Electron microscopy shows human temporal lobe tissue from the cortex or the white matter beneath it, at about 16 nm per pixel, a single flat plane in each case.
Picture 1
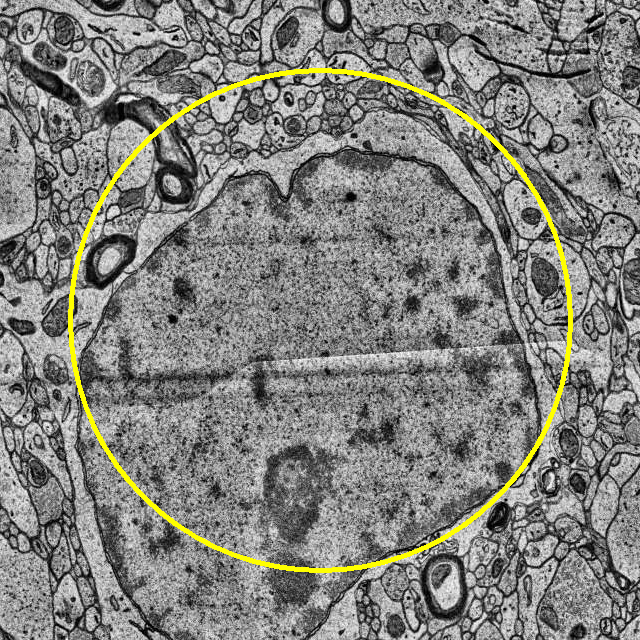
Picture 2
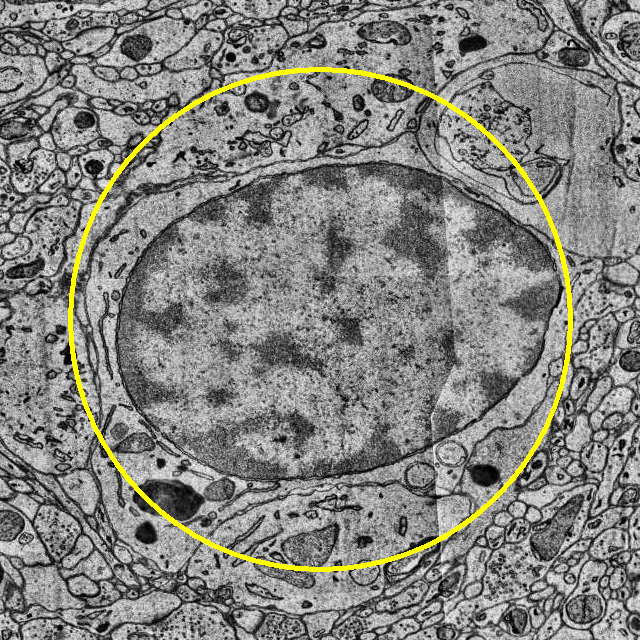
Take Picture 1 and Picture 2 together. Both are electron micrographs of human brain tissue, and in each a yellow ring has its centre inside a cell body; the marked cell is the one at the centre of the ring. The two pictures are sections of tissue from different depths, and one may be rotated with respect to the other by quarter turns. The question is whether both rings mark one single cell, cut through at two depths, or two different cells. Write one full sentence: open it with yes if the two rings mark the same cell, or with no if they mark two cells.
No, the two rings outline two separate cells in this micrograph.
